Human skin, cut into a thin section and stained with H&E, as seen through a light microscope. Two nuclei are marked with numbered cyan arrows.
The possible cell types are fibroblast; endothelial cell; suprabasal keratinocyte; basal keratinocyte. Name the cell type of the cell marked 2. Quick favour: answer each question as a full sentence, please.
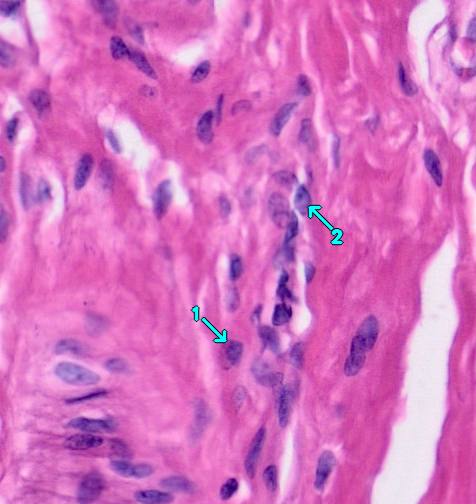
Corresponding to an endothelial cell is the cell labelled 2.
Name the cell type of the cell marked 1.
The cell numbered 1 represents a fibroblast.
